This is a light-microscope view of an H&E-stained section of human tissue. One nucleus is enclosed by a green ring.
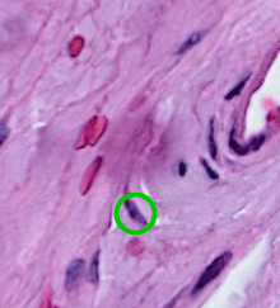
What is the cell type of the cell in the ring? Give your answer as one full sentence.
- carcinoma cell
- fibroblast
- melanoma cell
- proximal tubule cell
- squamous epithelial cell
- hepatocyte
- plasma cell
In the tissue under study, the cell in the ring is a fibroblast.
